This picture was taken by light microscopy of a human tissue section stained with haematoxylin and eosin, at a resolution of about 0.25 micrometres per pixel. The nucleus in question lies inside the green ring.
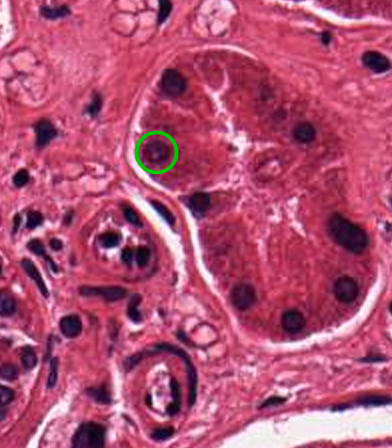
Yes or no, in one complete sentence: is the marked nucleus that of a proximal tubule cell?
Yes, what is marked here is the nucleus of a proximal tubule cell.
